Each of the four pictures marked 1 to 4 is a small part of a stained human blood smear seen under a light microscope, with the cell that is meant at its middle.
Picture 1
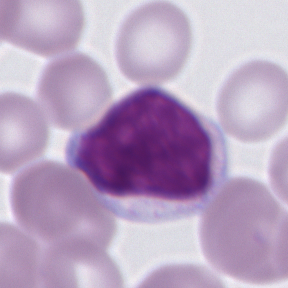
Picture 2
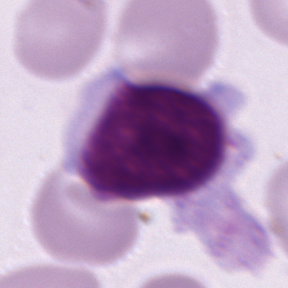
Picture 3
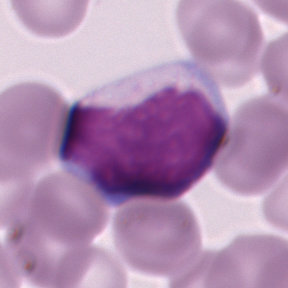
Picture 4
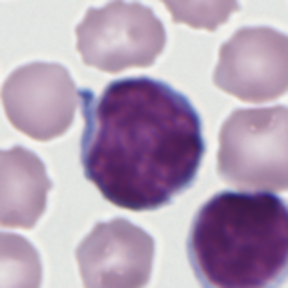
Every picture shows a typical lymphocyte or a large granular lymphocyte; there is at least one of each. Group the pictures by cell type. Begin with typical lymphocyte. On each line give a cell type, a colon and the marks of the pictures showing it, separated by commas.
typical lymphocyte: 4
large granular lymphocyte: 1, 2, 3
